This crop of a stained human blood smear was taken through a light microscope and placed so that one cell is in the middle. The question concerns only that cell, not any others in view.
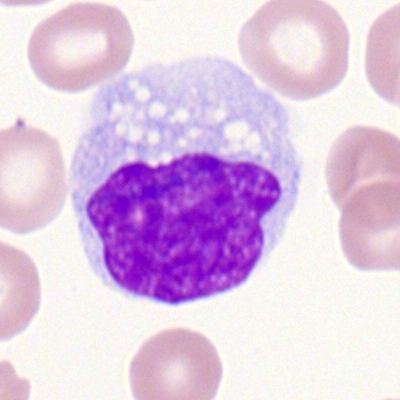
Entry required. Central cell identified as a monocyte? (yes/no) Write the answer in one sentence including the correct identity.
Yes, this crop has a monocyte at its centre.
